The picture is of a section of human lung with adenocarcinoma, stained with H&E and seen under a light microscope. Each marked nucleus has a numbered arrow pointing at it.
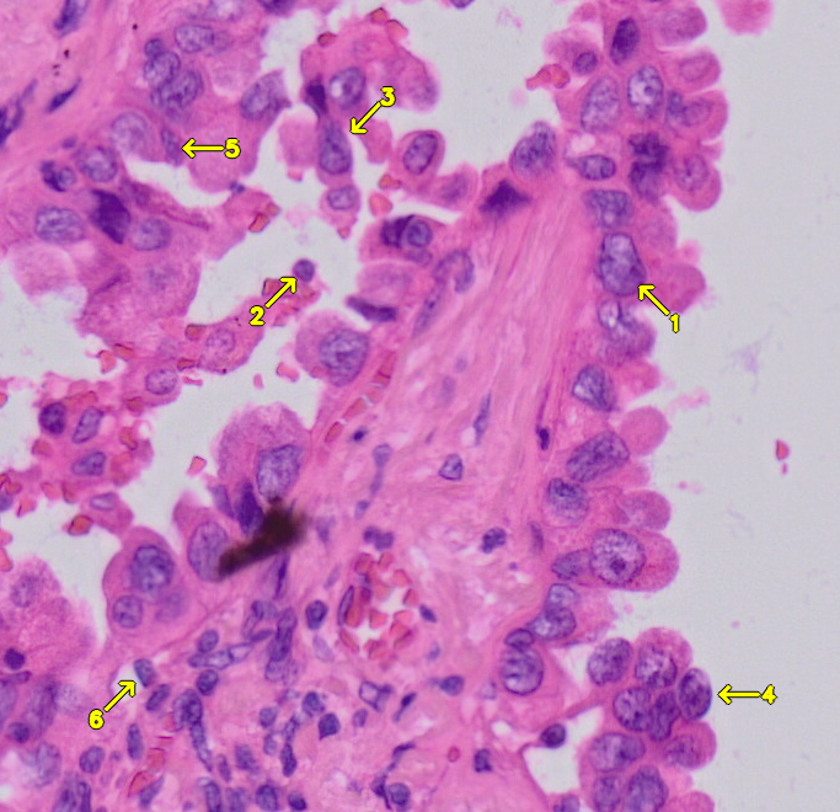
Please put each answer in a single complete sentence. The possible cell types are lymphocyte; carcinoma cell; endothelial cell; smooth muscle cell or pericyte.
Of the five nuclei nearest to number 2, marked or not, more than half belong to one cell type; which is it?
Most of the five nuclei nearest to number 2 are those of carcinoma cells.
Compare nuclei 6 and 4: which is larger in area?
Nucleus 4 covers more area, about 2.5 times as much as nucleus 6.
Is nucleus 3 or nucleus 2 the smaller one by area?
Number 2 is smaller, since number 3 takes up about 3 times as much area.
